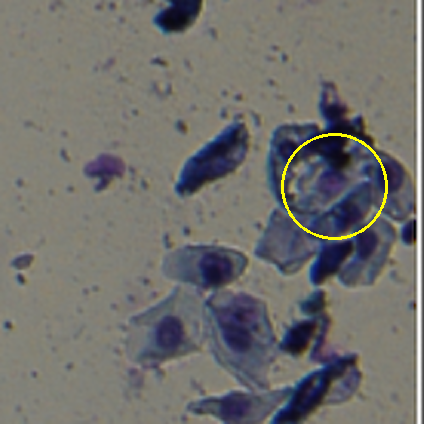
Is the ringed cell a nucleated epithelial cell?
Yes, it is a nucleated epithelial cell.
